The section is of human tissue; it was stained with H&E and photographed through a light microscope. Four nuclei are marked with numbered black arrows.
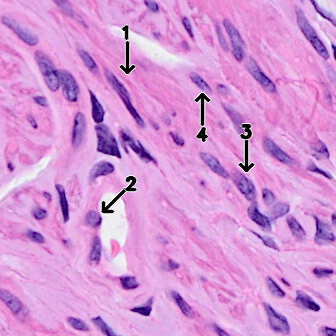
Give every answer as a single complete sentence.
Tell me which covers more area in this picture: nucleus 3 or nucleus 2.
Nucleus 3 covers more area, about 2 times as much as nucleus 2.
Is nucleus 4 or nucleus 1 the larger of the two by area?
Nucleus 1 is the larger one, covering about 2.5 times the area of nucleus 4.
